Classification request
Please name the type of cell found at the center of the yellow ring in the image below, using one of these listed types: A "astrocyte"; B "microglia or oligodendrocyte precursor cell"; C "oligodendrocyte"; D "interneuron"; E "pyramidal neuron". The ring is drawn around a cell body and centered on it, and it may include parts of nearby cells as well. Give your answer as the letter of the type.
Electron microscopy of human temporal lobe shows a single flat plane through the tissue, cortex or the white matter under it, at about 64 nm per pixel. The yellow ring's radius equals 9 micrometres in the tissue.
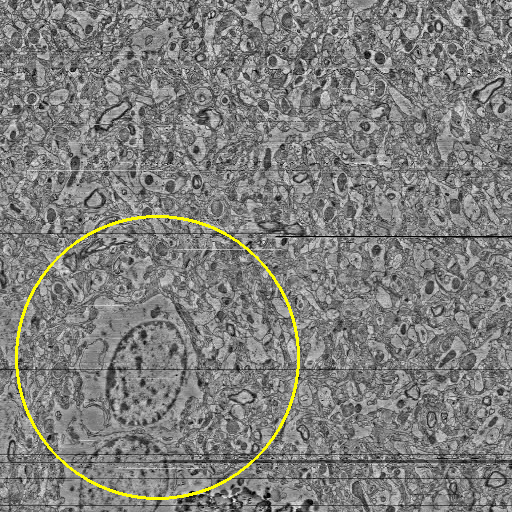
A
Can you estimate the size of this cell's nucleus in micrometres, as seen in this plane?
Roughly 7 by 5 micrometres in this plane, for the nucleus of the ringed cell.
